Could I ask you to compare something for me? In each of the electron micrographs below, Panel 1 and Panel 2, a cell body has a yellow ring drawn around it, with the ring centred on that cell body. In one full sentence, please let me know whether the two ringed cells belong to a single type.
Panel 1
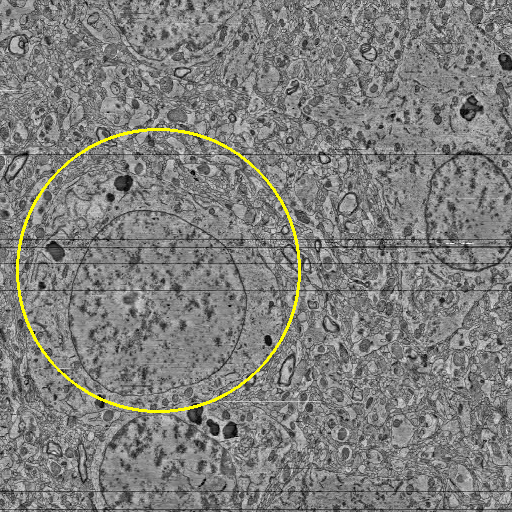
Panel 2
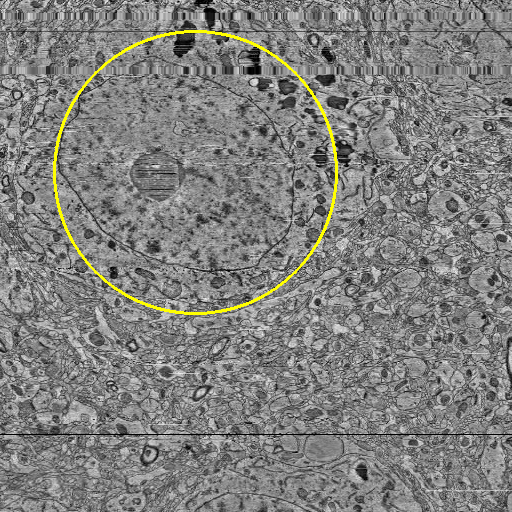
Yes, the two cells at the centres of the rings are of one type.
